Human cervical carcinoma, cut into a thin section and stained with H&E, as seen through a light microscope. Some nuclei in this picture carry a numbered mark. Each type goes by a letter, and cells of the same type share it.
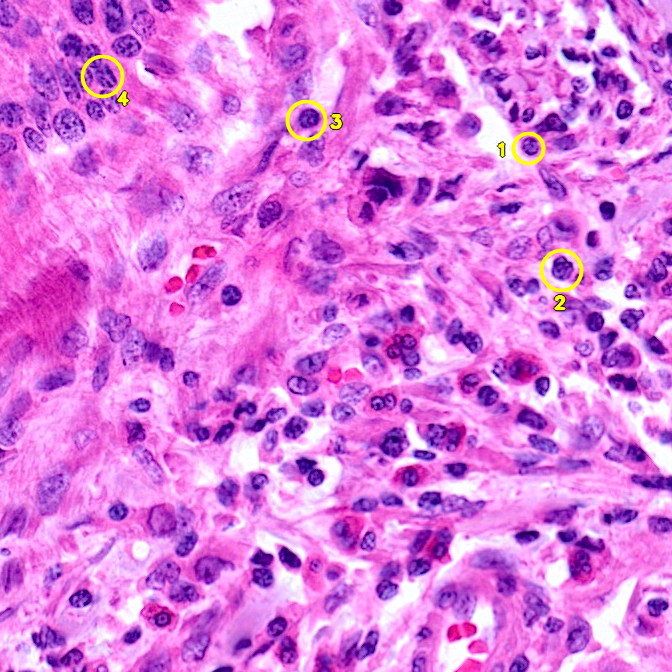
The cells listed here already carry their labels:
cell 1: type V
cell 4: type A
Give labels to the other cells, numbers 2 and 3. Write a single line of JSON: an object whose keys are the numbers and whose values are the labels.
{"2": "type V", "3": "type V"}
